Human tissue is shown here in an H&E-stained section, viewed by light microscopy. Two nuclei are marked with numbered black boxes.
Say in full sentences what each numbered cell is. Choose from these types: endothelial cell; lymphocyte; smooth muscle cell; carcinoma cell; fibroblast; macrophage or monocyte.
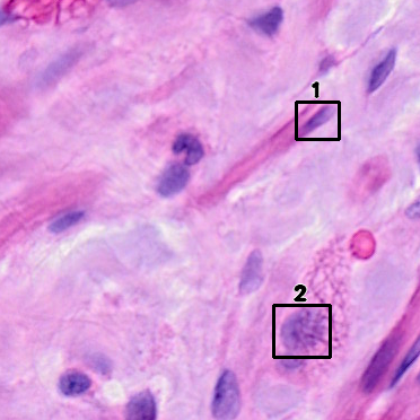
Cell 1 is a smooth muscle cell and cell 2 is an endothelial cell.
